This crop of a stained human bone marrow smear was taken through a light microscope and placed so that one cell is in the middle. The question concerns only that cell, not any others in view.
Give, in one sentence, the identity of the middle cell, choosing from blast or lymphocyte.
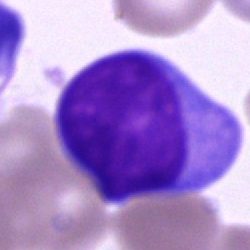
The cell under consideration, at the middle of the crop, is a blast.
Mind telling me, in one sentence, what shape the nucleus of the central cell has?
The nucleus is one compact mass, round, oval or kidney-shaped in outline.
